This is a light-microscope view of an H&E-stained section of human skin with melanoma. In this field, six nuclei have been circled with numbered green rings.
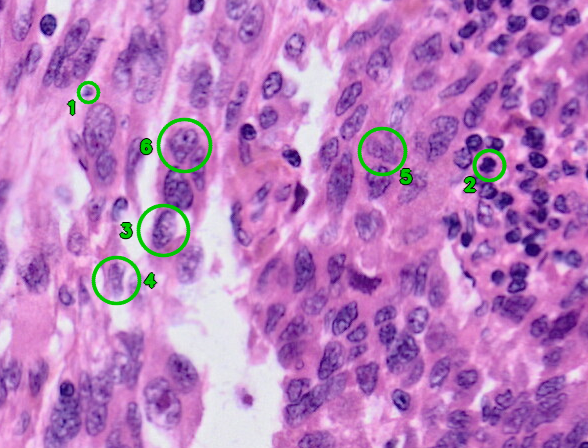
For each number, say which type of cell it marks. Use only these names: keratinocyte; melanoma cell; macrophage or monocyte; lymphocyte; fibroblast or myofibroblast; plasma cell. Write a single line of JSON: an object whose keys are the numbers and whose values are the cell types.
{"1": "lymphocyte", "2": "lymphocyte", "3": "melanoma cell", "4": "melanoma cell", "5": "melanoma cell", "6": "melanoma cell"}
